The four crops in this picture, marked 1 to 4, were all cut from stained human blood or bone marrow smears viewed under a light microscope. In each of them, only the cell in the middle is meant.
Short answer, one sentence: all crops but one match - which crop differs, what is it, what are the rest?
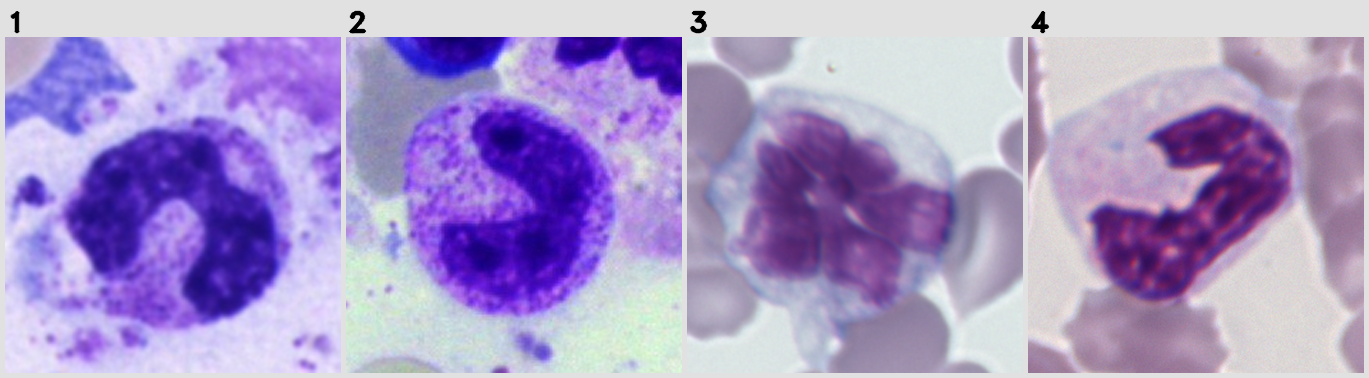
With the other crops all showing band neutrophils, crop 3 differs by showing a monocyte.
